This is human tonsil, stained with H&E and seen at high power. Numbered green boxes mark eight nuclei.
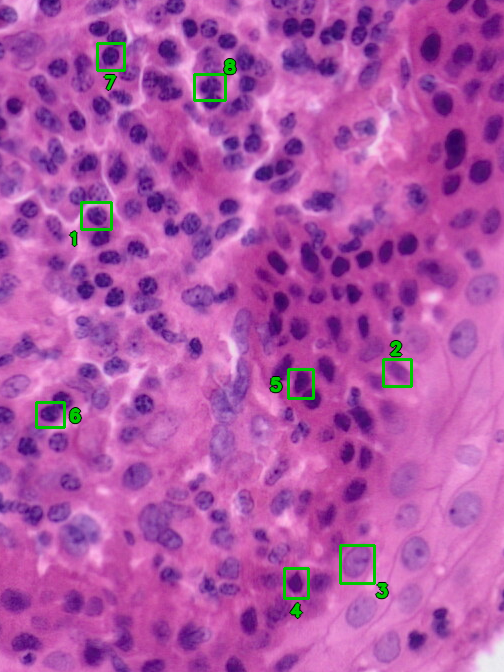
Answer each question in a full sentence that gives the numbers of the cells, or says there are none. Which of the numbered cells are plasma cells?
The cells given the numbers 1, 6, 7 and 8 are plasma cells.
